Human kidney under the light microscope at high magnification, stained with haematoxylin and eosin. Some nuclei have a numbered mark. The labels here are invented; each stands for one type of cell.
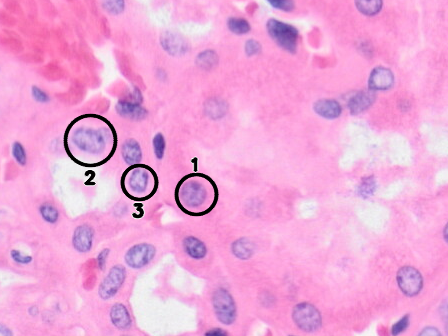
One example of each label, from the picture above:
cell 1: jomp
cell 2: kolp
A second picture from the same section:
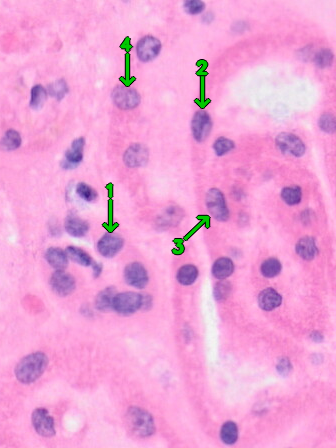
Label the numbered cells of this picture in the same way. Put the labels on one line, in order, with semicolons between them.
kolp; jomp; jomp; jomp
